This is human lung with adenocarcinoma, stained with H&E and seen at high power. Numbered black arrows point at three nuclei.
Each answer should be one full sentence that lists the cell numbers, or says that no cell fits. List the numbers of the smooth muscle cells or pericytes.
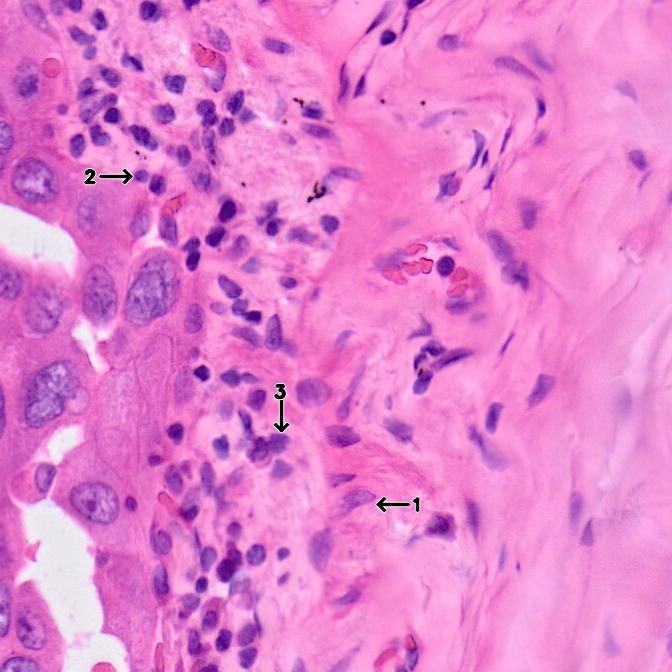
Cell 1 is a smooth muscle cell or pericyte; no further numbered cell is.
